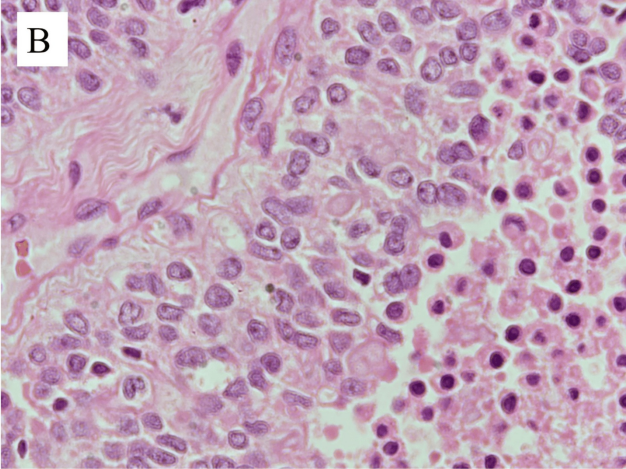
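These are tumor cells seen at high power. Polygonal to rounded cells lie loosely beside a thin band of pink fibrous stroma at the upper left. They have a moderate amount of pale pink, eosinophilic cytoplasm. Their nuclei are round to oval and fairly uniform in size, with finely textured chromatin and no conspicuous nucleoli. Some nuclei show grooves or folds. Toward the right, the cells are less cohesive and are scattered in a pink background, with smaller, darker, condensed nuclei. Occasional red blood cells are present.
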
